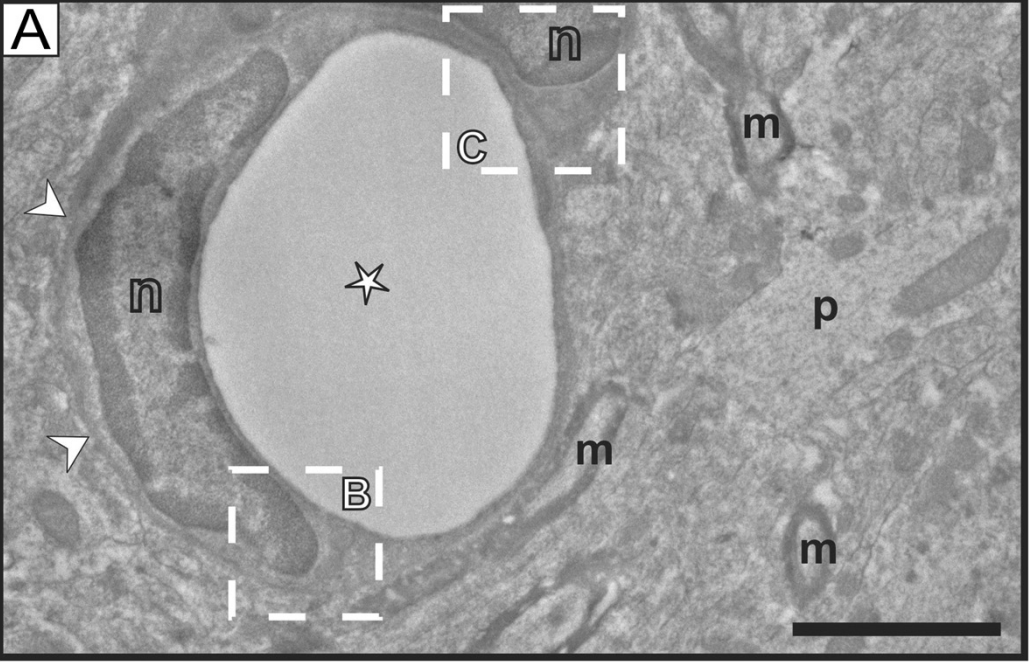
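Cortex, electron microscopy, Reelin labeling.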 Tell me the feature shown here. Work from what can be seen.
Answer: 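Brain capillary. A large, round, empty pale lumen sits in the centre. The lumen is ringed by a thin cellular wall with flattened nuclei. Nerve fibres of the surrounding tissue lie around it.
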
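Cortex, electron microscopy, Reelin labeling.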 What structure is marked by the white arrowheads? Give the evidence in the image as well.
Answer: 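Basement membrane. The arrowheads point to a thin dense line at the outer edge of the vessel wall.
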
